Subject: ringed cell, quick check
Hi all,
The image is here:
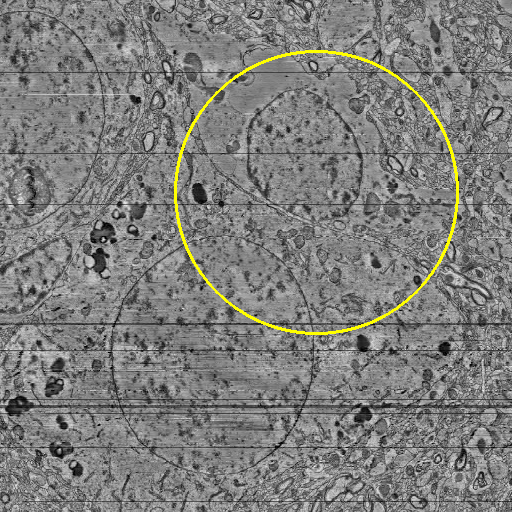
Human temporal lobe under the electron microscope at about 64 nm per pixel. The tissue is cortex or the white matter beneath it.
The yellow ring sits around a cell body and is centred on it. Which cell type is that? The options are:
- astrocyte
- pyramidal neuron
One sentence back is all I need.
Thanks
That ringed cell is an astrocyte.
